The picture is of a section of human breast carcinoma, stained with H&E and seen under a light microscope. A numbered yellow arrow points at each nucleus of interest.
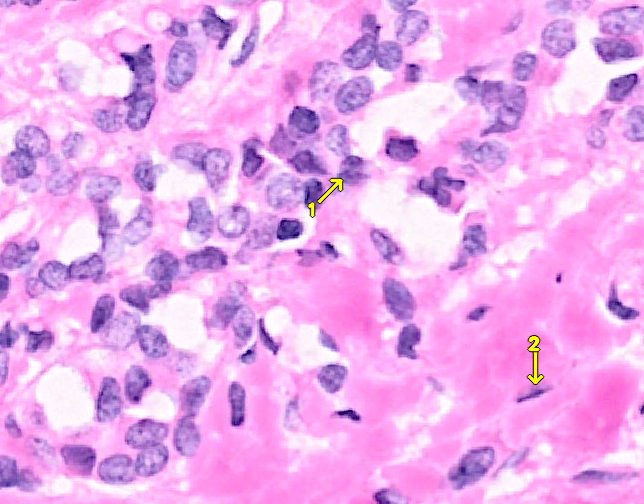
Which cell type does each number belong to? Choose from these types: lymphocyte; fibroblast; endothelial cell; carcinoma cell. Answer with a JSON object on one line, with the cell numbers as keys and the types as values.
{"1": "carcinoma cell", "2": "fibroblast"}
